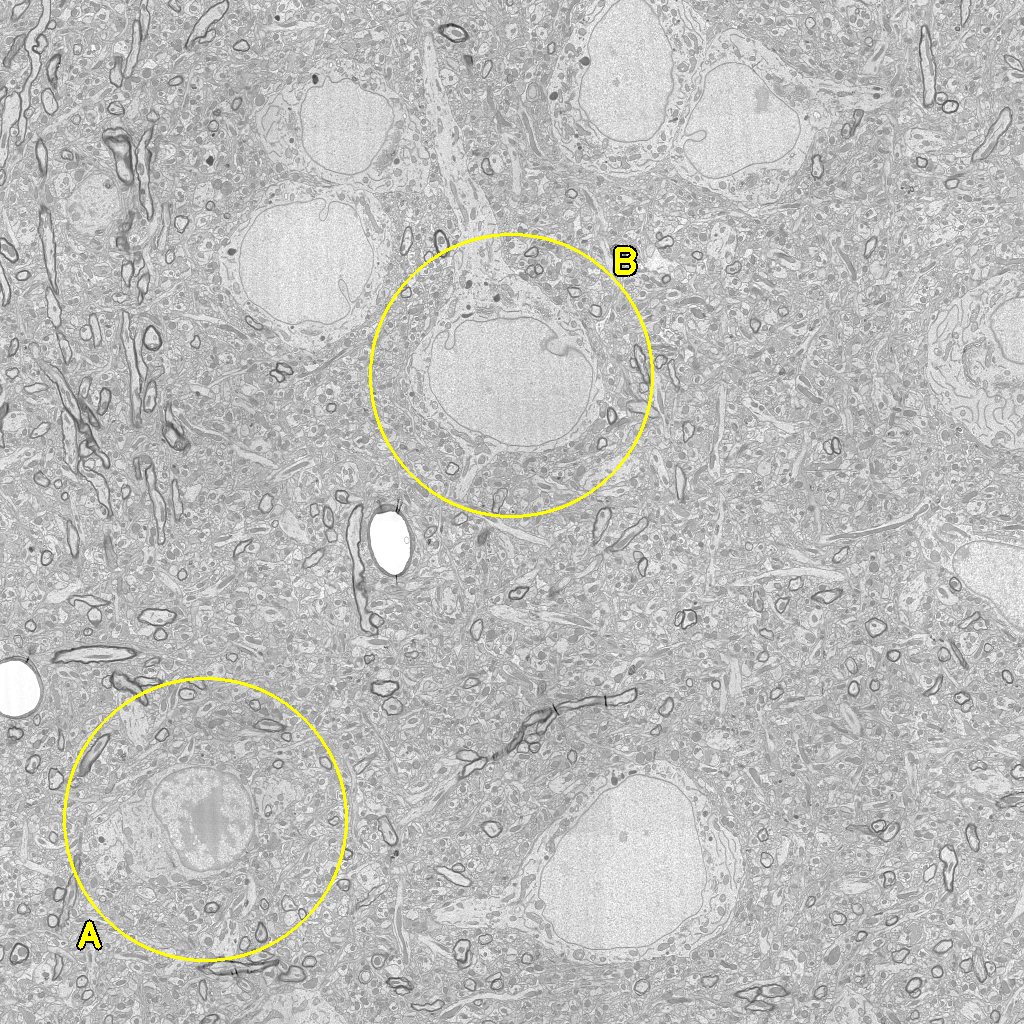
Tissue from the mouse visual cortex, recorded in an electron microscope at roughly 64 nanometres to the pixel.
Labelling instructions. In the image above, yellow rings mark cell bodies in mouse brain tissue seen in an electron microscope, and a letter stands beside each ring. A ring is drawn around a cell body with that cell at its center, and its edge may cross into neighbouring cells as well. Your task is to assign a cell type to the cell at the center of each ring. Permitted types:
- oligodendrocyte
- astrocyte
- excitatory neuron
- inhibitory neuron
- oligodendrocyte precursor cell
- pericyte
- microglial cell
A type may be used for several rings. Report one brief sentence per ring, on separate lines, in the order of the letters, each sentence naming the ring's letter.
The cell at the center of ring A is an oligodendrocyte.
The cell at the center of ring B is an excitatory neuron.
